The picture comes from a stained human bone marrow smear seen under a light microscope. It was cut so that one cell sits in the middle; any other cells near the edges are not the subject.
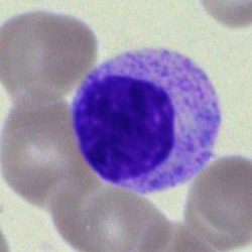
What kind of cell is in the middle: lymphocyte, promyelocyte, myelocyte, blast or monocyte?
myelocyte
